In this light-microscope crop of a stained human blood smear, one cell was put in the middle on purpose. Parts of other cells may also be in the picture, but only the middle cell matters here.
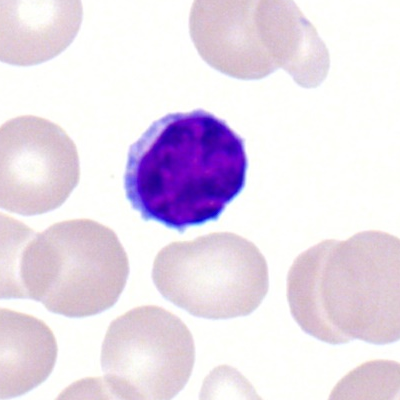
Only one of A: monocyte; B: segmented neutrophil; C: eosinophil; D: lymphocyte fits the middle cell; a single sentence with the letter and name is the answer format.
Option D is accurate; the centrally placed cell is a lymphocyte.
